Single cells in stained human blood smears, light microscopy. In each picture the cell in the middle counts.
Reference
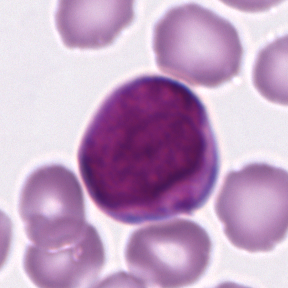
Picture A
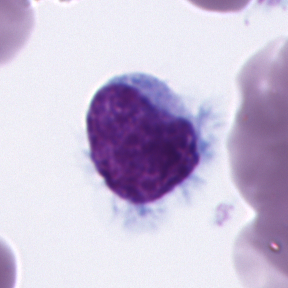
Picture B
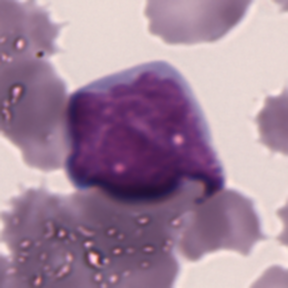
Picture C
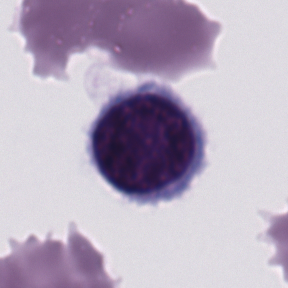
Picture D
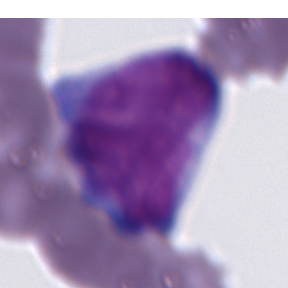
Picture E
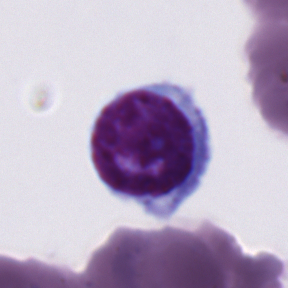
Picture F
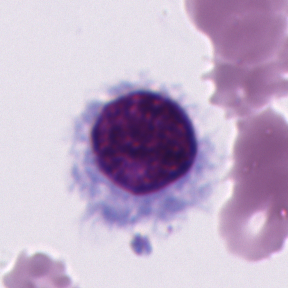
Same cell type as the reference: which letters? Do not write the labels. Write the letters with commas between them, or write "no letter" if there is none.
B, D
